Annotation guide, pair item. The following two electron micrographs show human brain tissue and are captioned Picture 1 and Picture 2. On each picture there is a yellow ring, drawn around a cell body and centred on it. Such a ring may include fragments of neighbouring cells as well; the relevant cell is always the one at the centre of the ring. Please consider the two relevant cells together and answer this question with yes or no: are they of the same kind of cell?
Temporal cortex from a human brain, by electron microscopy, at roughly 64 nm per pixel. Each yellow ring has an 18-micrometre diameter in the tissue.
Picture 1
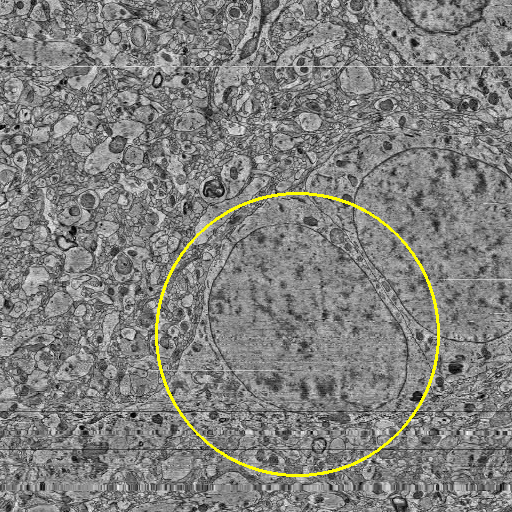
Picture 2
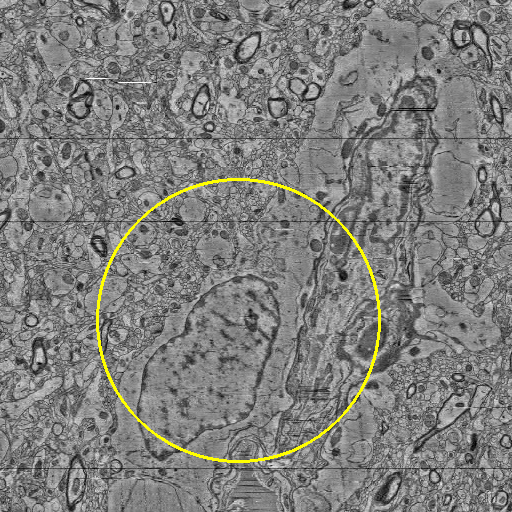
no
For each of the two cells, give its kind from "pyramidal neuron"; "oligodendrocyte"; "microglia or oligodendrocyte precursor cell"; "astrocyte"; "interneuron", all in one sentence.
The first picture has a pyramidal neuron in its ring, the second has a microglial cell or oligodendrocyte precursor cell.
